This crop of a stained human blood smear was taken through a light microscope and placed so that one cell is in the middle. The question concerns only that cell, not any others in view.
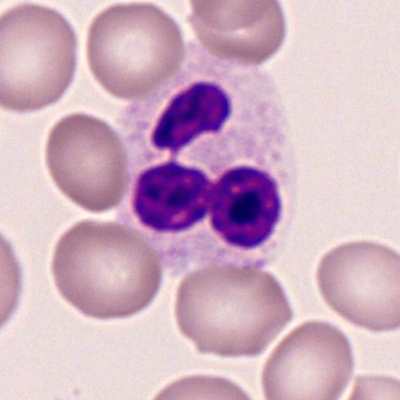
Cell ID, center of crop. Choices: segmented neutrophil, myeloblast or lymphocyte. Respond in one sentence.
The cell that lies at the centre of the crop is a segmented neutrophil.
